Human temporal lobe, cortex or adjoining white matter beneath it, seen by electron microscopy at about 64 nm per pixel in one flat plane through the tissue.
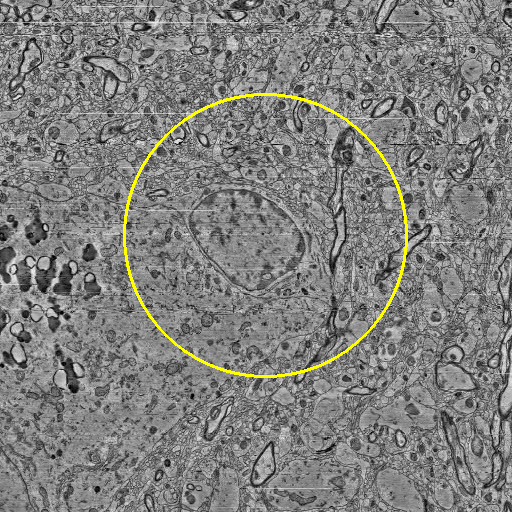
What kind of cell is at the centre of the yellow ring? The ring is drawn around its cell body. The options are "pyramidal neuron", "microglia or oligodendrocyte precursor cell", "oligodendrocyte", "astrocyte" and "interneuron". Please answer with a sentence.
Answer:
The yellow ring marks the cell body of a microglial cell or oligodendrocyte precursor cell.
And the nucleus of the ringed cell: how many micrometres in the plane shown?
The nucleus measures about 8 by 6 micrometres in this plane.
